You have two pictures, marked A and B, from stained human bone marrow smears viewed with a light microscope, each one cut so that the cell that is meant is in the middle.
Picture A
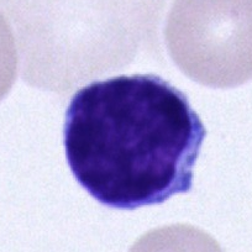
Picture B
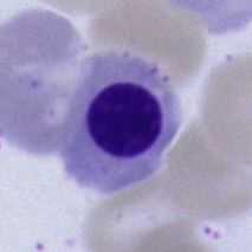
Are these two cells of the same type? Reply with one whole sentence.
No. Picture A shows a lymphocyte, but picture B shows an erythroblast.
